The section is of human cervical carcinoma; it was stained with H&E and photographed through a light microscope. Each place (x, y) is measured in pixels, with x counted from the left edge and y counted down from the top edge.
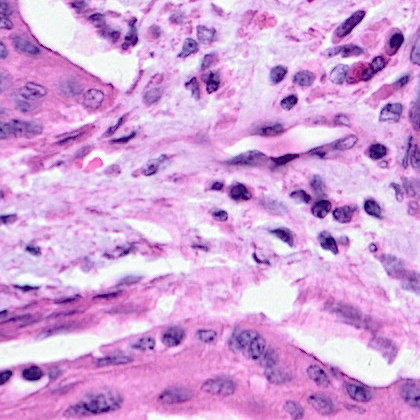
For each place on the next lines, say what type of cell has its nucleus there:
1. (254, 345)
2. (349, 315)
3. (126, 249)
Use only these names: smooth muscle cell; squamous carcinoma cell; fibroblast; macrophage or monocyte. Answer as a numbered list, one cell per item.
1. squamous carcinoma cell
2. fibroblast
3. fibroblast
